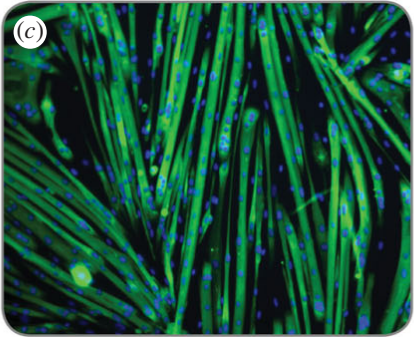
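Cultured muscle cells fused into long myotubes fill the field. The myotubes are slender, green-filled fibres running largely parallel in bundles, some curving or fanning out. Each fibre carries several to many oval blue nuclei lined up along its length. A few rounded green bodies sit among the fibres.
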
